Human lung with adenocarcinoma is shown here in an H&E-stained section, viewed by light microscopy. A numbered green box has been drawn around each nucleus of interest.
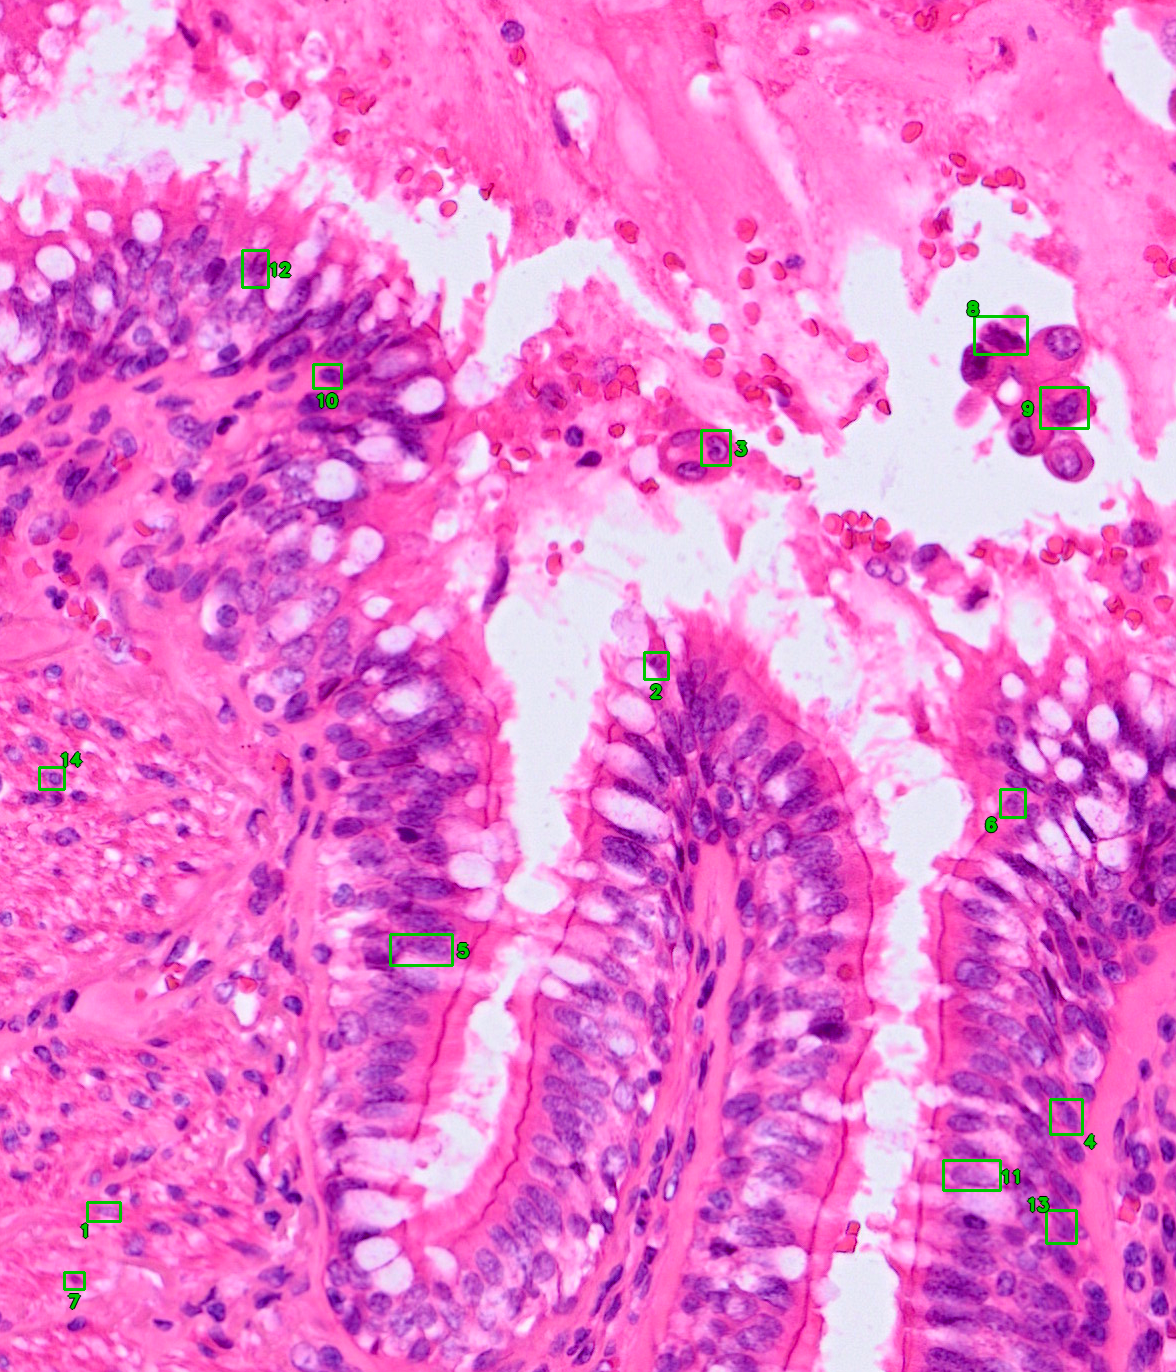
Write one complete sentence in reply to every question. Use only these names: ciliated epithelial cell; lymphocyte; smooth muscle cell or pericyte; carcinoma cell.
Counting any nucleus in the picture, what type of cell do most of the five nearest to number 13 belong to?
The majority of the five nuclei closest to number 13 belong to ciliated epithelial cells.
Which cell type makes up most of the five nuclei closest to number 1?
The majority of the five nuclei closest to number 1 belong to smooth muscle cells or pericytes.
